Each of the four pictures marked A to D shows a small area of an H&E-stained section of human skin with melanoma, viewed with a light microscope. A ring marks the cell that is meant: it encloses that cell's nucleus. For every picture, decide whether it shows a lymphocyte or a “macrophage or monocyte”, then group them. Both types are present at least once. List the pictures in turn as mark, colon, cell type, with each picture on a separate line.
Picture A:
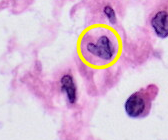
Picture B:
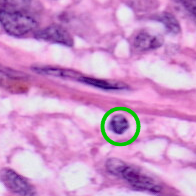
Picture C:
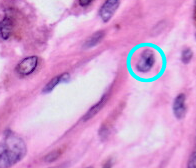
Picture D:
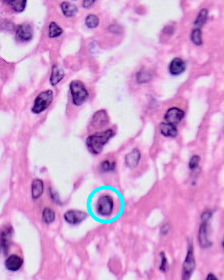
A: macrophage or monocyte
B: lymphocyte
C: lymphocyte
D: lymphocyte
